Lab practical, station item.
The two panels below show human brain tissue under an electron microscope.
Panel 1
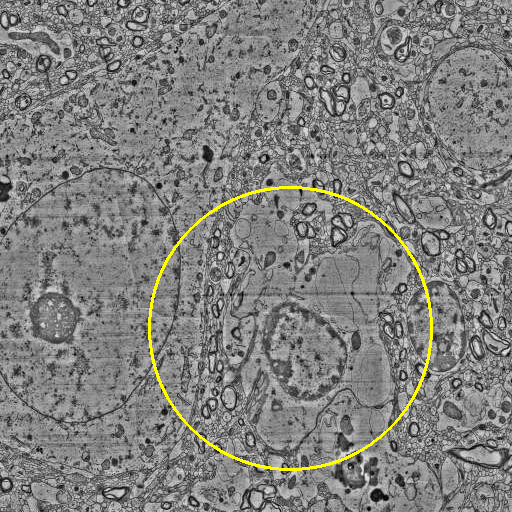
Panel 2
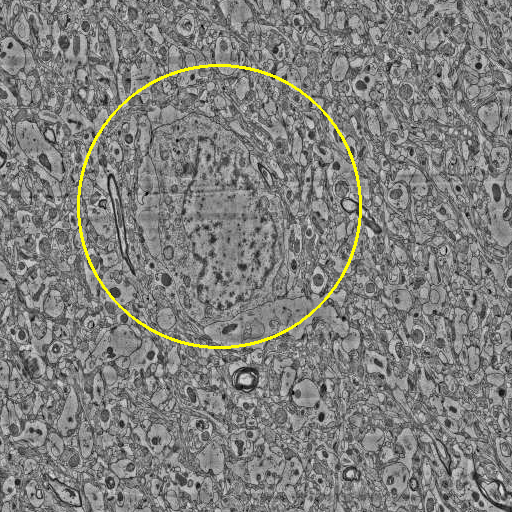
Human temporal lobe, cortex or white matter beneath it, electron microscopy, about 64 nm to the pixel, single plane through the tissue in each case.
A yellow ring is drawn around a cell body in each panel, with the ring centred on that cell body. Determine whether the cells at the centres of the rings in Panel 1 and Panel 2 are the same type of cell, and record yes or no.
no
